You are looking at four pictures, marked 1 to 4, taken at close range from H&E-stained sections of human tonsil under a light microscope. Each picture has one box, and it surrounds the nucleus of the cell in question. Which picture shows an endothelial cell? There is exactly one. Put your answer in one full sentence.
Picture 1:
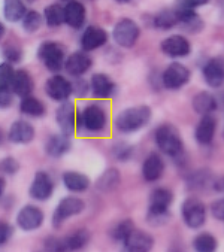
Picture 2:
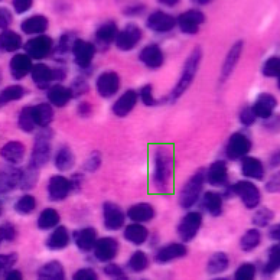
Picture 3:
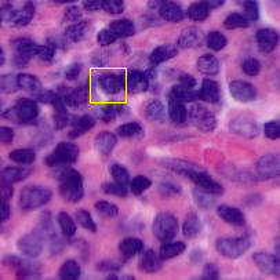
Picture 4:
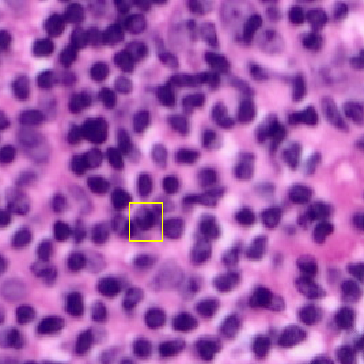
The endothelial cell is the one in picture 2.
